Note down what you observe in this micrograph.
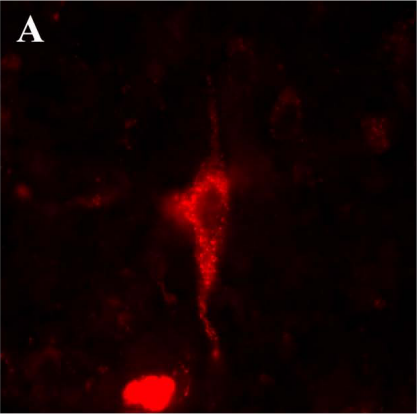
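The cell body is spindle to triangular in shape and filled with fine red granules. A thin process runs upward from the cell body and another beaded process runs downward toward the lower edge. Near the bottom lies a separate, intensely red, rounded body.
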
